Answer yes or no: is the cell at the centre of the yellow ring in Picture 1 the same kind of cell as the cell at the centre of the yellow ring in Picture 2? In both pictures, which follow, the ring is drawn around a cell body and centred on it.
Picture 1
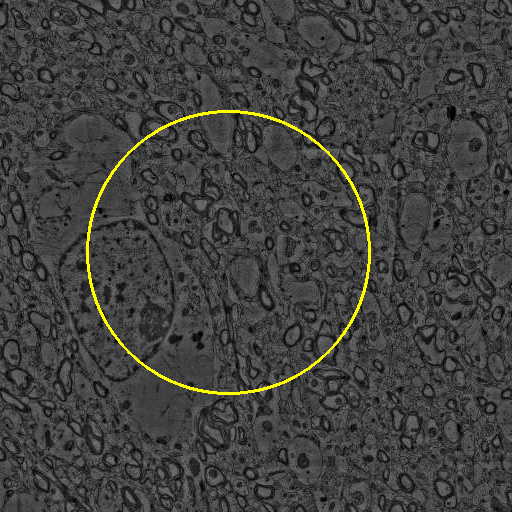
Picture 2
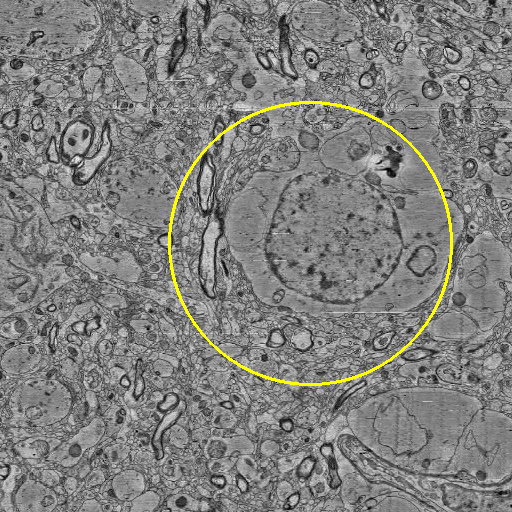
yes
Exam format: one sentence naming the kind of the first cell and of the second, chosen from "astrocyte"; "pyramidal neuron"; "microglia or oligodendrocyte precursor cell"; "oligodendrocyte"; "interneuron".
Each cell at the centre of a ring is an astrocyte.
